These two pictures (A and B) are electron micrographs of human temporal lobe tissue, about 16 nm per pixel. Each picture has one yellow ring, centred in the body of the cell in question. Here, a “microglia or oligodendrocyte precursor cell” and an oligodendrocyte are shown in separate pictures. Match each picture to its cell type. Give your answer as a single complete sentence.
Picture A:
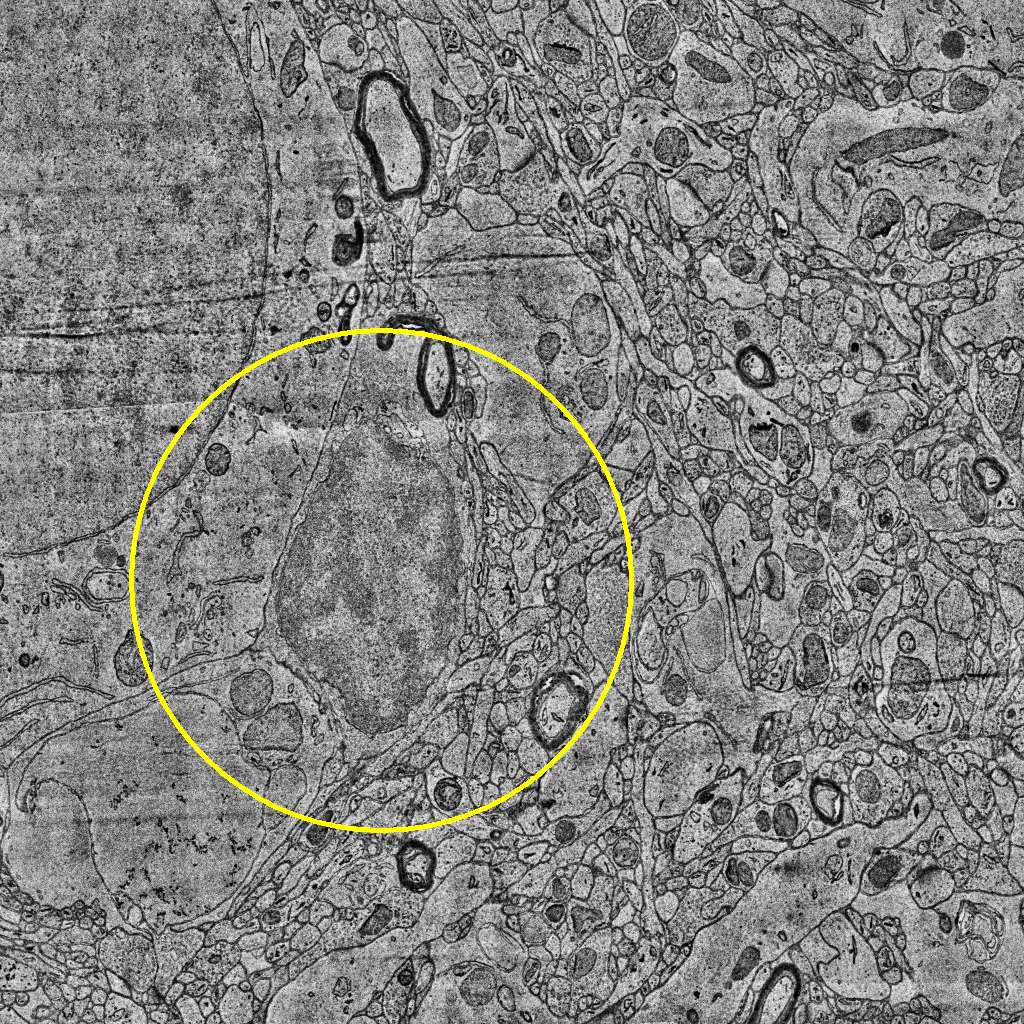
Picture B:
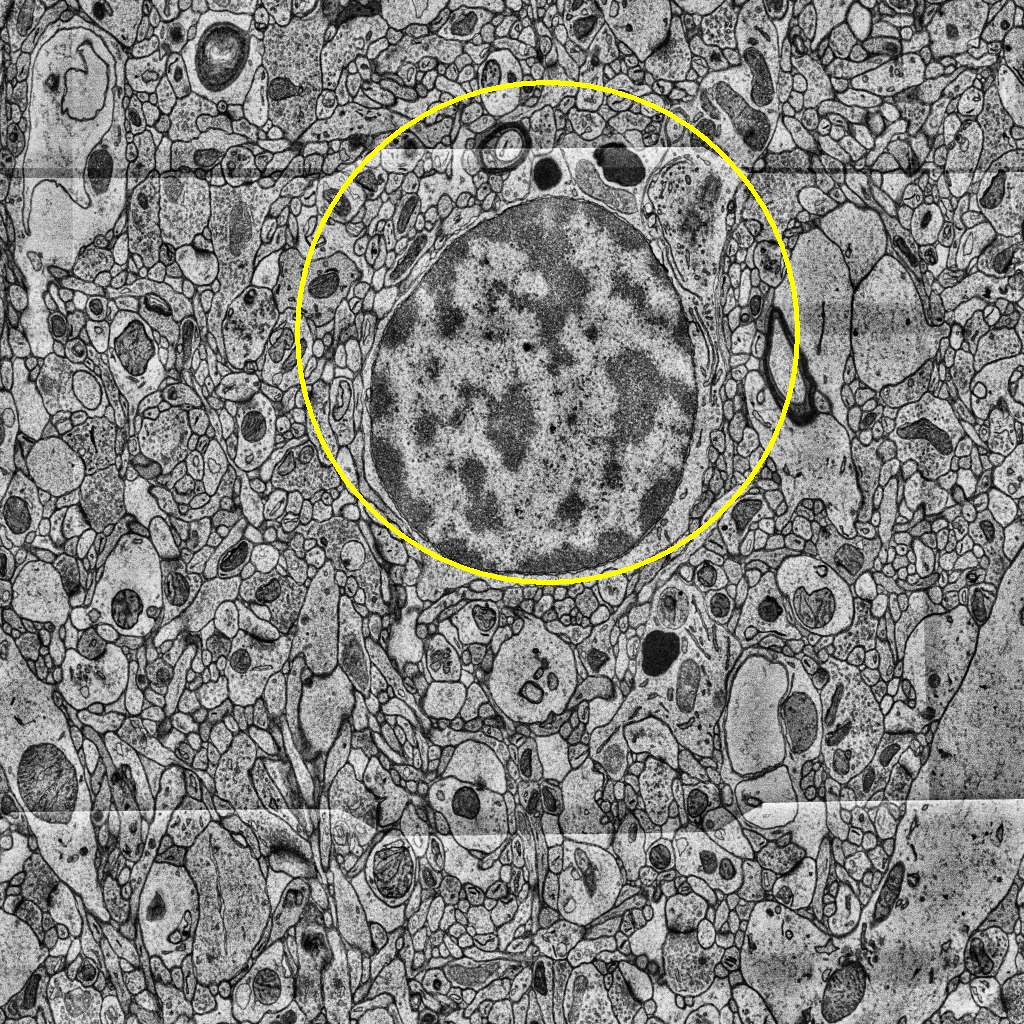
The cell in picture A is an oligodendrocyte, and the one in picture B is a “microglia or oligodendrocyte precursor cell”.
